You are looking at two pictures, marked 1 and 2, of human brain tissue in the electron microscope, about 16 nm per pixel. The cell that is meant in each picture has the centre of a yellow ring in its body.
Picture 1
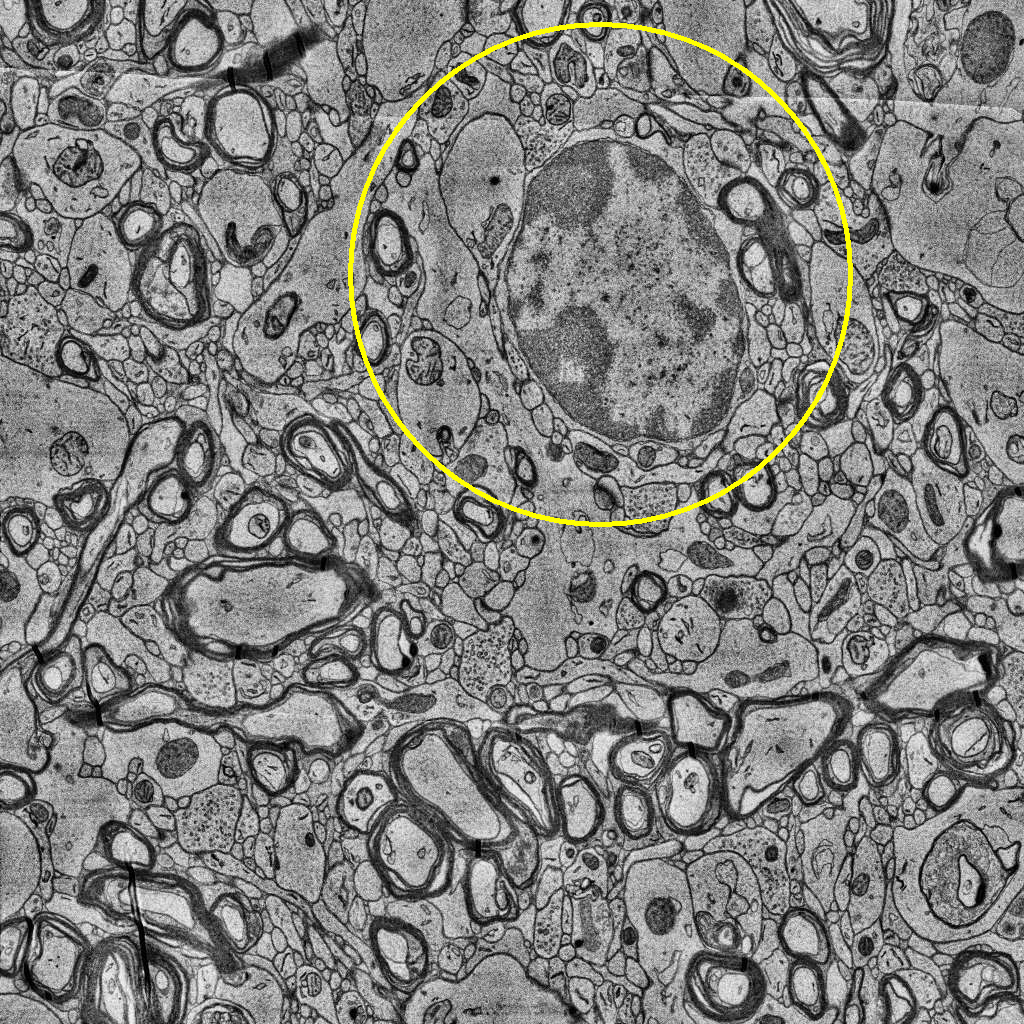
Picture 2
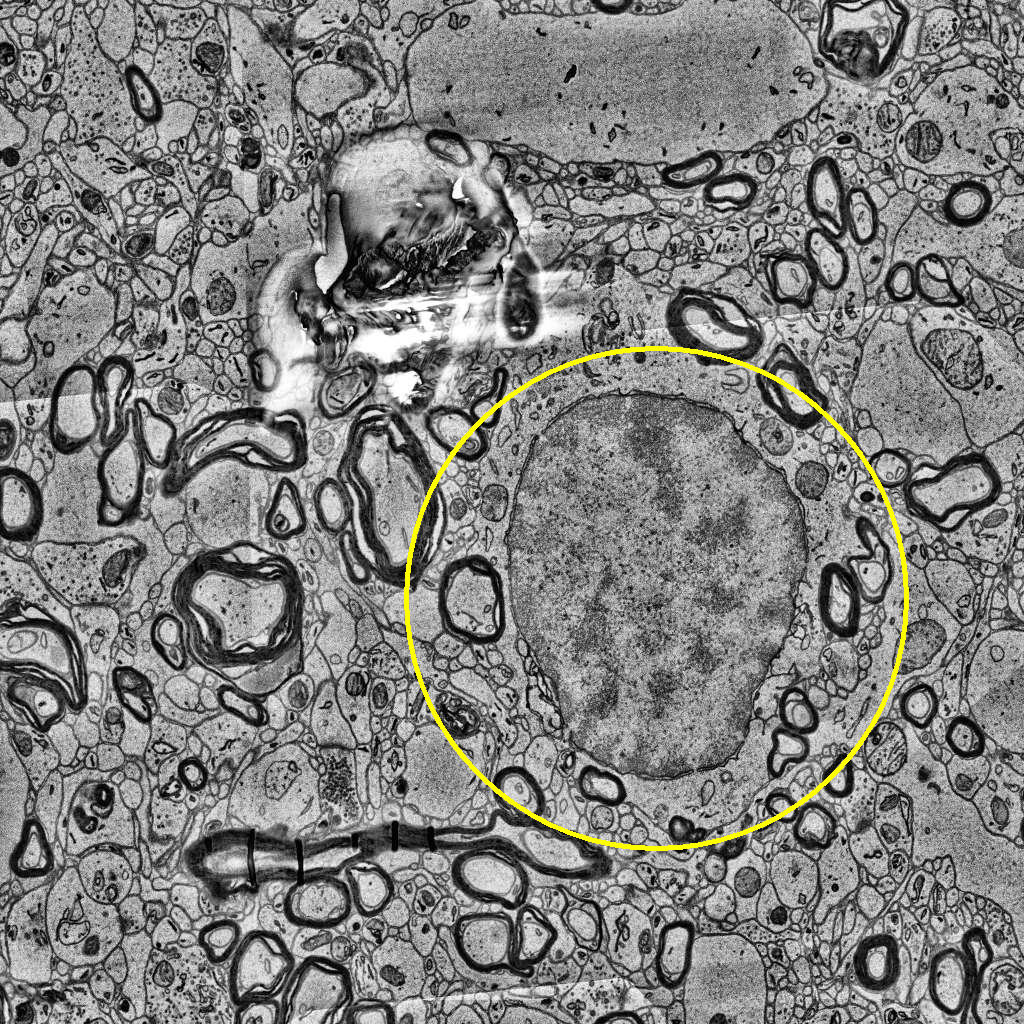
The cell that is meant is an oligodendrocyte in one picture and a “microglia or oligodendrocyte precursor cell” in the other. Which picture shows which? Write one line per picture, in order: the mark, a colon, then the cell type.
1: microglia or oligodendrocyte precursor cell
2: oligodendrocyte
